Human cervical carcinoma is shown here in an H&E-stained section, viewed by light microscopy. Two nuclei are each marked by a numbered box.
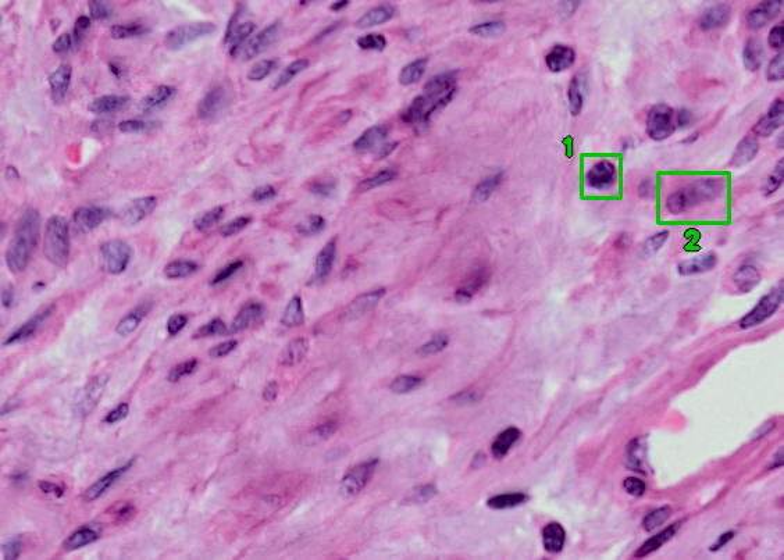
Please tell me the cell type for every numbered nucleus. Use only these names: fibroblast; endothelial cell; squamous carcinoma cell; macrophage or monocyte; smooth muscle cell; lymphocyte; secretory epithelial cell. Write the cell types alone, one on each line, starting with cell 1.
lymphocyte
macrophage or monocyte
